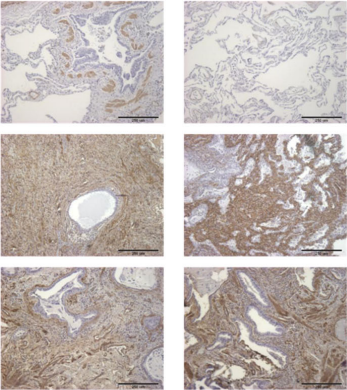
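The top pair shows normal lung, with thin, delicate alveolar walls; the brown stain is confined mostly to the muscular walls of vessels and airways. In the four lower images, the lung is replaced by dense, thickened tissue packed with brown-stained spindle cells in interlacing bundles, with only a few compressed airspaces left.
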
